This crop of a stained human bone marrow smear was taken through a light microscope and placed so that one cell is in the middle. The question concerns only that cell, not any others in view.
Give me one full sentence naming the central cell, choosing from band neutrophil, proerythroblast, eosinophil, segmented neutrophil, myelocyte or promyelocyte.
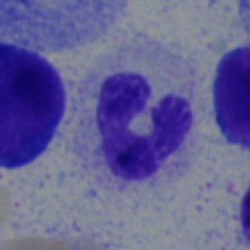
The cell nearest the centre of this crop is a segmented neutrophil.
